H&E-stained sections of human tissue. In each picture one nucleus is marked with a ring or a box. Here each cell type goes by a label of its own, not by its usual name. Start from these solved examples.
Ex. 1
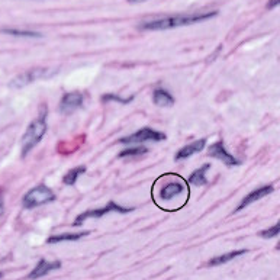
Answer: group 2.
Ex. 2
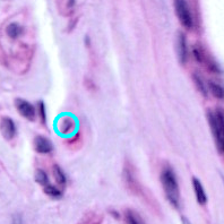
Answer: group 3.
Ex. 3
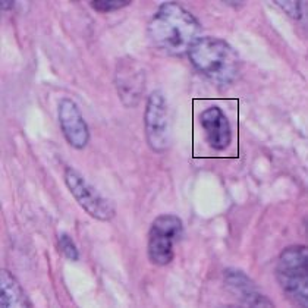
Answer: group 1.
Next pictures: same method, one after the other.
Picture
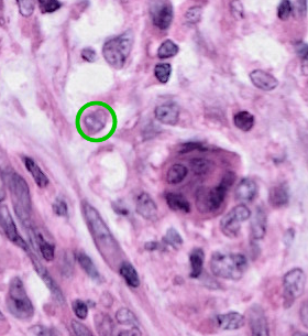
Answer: group 2.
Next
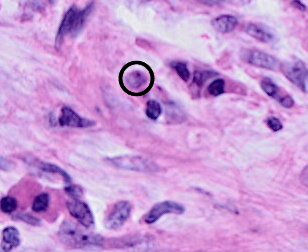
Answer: group 2.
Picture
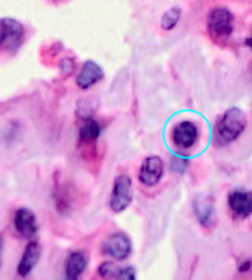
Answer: group 1.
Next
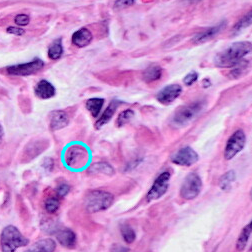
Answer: group 3.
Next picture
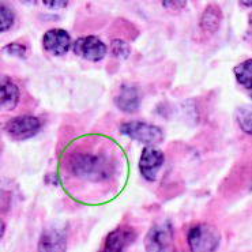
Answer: group 2.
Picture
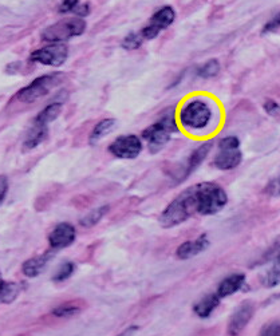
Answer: group 1.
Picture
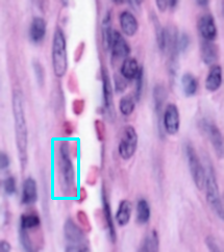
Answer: group 3.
